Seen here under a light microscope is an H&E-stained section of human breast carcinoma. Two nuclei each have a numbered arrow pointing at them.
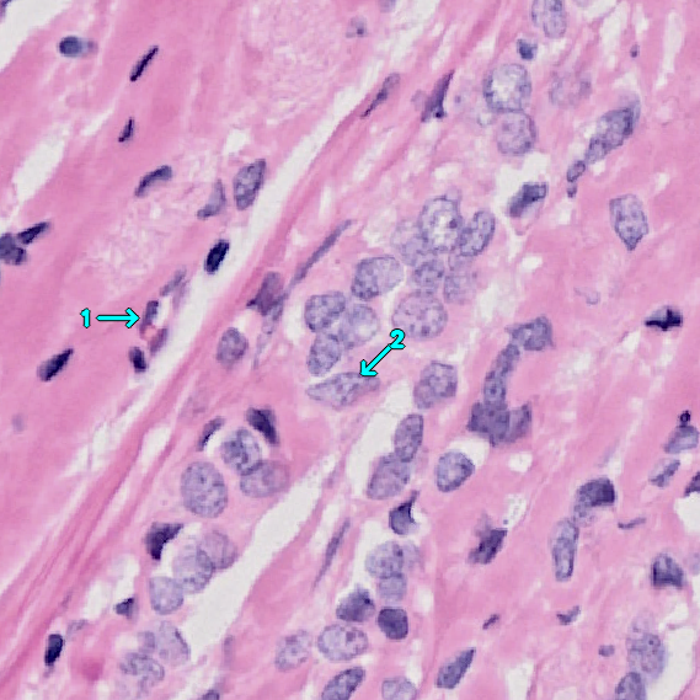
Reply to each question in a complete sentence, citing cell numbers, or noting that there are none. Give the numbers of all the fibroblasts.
Not one numbered cell here is one of the fibroblasts.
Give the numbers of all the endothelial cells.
In contrast to the remaining marked cells, cell 1 is an endothelial cell.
